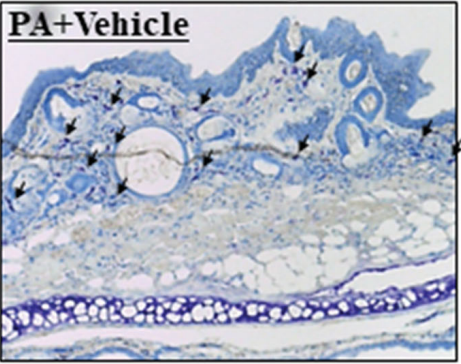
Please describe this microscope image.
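This is a cross-section of ear skin in which many small, darkly purple cells, mast cells, are scattered through the dermis. At the top, a blue surface epithelium covers a thickened layer of connective tissue that contains several rounded, ring-like profiles cut in cross-section. The dark purple cells lie among these profiles and throughout the dermis, standing out against the pale blue background. Below the dermis lies a paler, looser layer. At the bottom runs a plate of deep violet tissue made of rows of rounded pale spaces.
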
